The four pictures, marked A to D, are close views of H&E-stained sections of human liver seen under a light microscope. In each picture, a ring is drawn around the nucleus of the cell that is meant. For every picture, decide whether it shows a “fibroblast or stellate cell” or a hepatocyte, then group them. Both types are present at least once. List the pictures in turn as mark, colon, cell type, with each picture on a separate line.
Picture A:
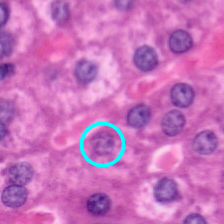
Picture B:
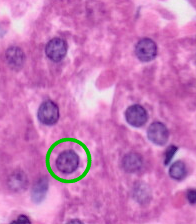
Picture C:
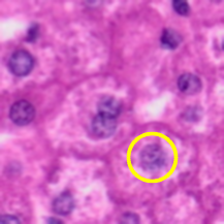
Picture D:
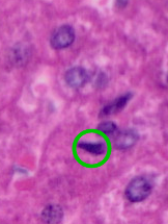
A: hepatocyte
B: hepatocyte
C: hepatocyte
D: fibroblast or stellate cell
